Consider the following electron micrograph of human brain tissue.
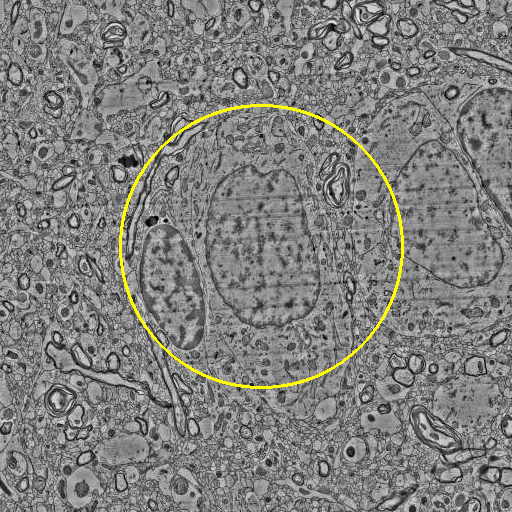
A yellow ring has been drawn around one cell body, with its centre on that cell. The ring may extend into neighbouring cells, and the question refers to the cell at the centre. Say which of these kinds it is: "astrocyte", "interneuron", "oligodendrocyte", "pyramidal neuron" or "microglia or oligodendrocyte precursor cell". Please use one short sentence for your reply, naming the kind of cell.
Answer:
The centre of the ring falls on an interneuron.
